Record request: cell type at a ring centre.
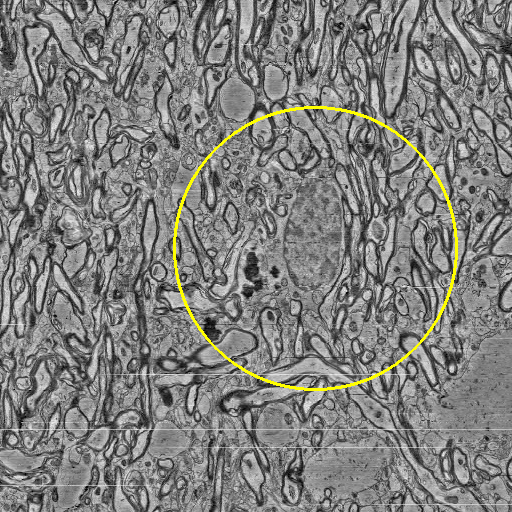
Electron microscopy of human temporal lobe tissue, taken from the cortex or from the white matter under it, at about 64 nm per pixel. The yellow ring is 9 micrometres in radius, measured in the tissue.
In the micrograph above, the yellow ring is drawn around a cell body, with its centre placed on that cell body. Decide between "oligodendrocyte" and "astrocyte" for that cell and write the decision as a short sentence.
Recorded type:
The cell centred in the yellow ring is an oligodendrocyte.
